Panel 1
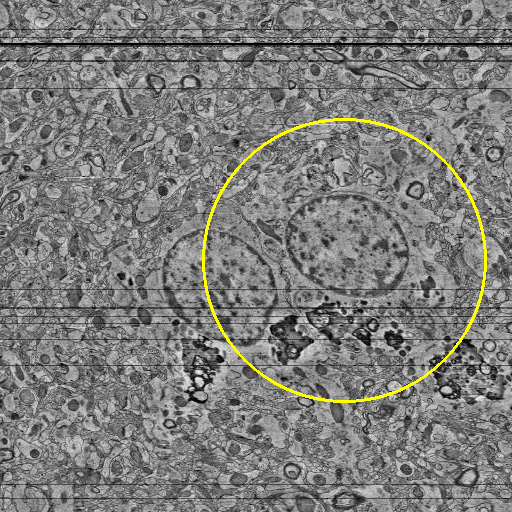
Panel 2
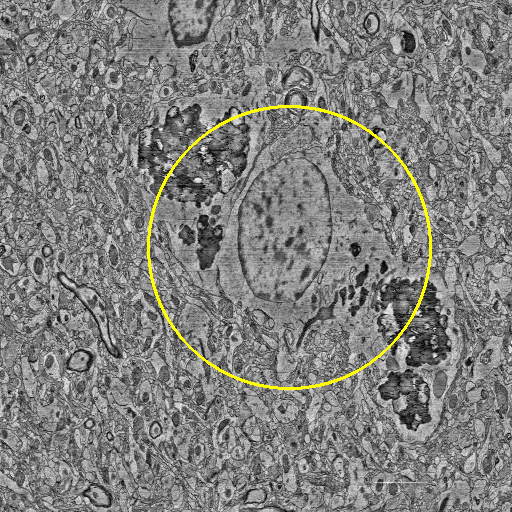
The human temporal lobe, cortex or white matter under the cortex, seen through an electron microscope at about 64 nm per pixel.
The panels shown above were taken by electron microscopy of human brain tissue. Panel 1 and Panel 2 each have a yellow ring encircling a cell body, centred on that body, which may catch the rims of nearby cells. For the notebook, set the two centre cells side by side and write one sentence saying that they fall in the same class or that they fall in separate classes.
The centred cells of Panel 1 and Panel 2 fall in the same class.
